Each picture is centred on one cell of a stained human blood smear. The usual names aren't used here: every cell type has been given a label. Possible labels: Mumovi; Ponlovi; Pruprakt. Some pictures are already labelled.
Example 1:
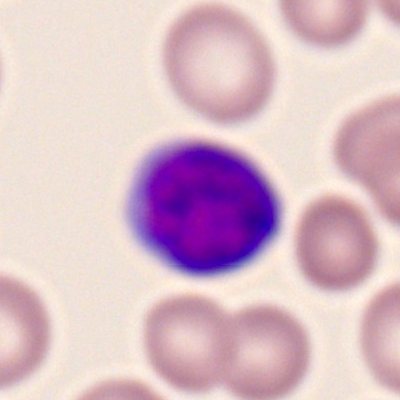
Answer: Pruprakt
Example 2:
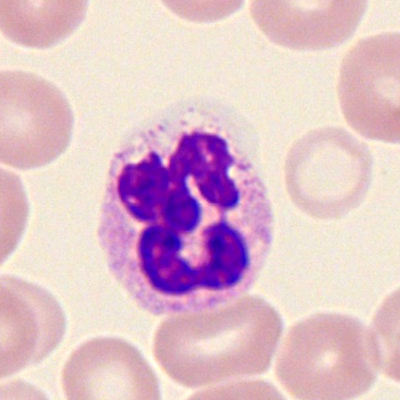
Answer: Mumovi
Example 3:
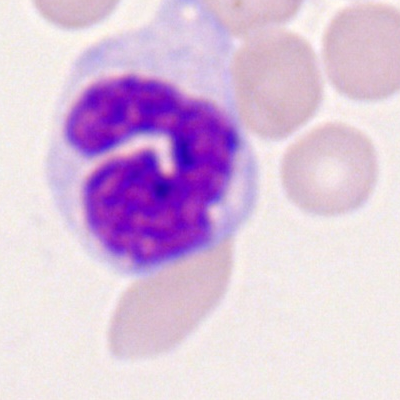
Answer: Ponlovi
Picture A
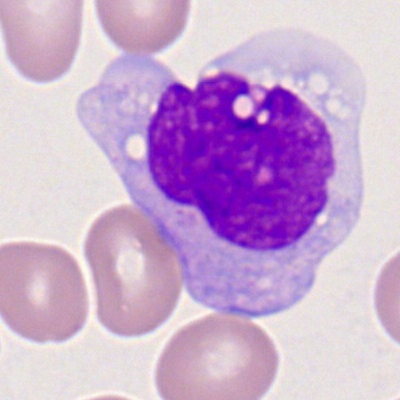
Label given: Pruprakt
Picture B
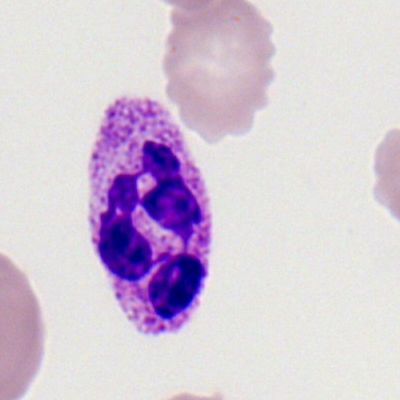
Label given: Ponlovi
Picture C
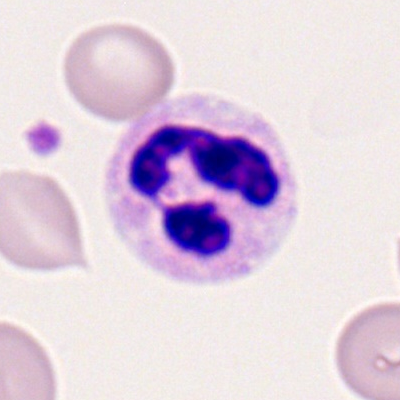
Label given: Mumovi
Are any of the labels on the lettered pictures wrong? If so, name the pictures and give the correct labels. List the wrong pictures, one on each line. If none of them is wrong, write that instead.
Wrong: A (Pruprakt); correct: Ponlovi
Wrong: B (Ponlovi); correct: Mumovi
